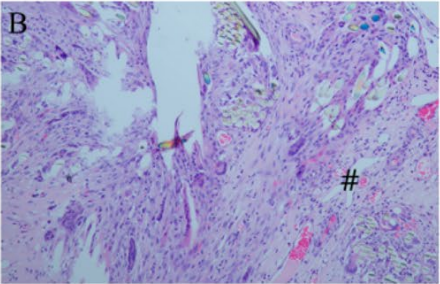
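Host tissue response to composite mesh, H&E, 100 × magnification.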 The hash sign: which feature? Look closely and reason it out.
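Neovascularisation. Small channels lined by flat cells lie near the mark. Red blood cells fill small lumina around the mark.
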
